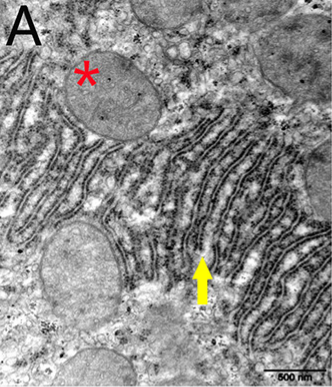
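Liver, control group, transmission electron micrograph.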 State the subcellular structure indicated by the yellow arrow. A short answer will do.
endoplasmic reticulum cisternae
